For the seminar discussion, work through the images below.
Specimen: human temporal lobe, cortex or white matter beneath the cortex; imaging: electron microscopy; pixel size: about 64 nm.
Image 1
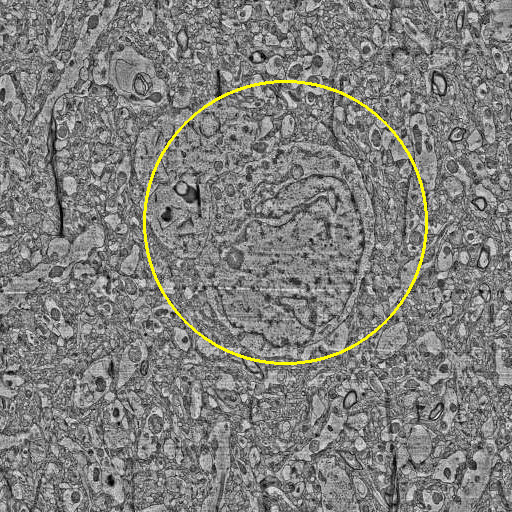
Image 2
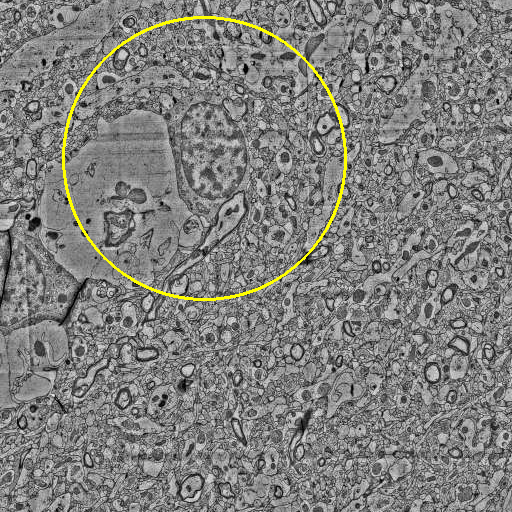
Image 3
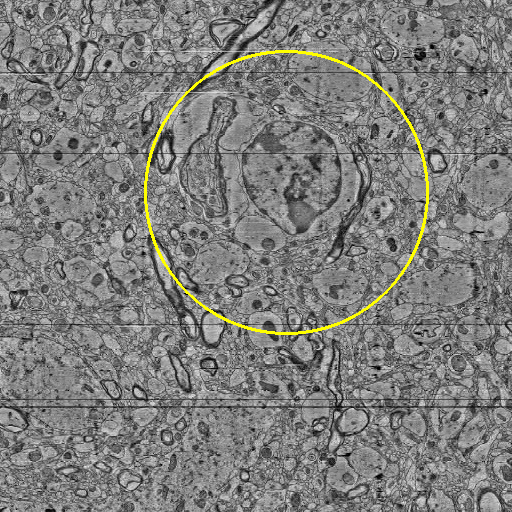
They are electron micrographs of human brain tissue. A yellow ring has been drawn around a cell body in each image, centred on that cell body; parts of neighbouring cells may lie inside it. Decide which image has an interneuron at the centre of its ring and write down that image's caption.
Image 1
